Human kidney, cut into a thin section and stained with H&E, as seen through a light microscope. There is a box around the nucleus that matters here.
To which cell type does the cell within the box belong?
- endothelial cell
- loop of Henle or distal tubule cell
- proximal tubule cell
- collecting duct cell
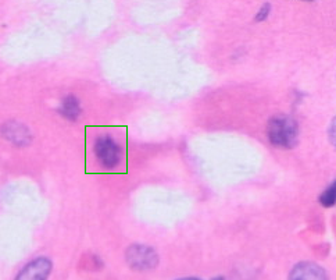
proximal tubule cell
